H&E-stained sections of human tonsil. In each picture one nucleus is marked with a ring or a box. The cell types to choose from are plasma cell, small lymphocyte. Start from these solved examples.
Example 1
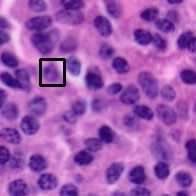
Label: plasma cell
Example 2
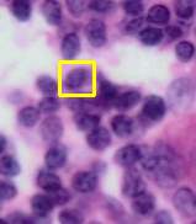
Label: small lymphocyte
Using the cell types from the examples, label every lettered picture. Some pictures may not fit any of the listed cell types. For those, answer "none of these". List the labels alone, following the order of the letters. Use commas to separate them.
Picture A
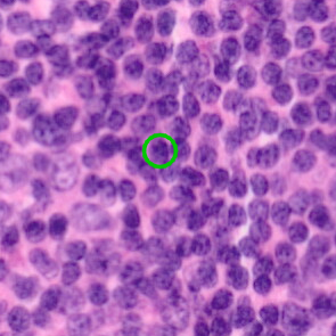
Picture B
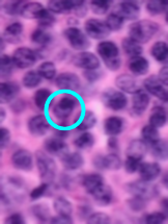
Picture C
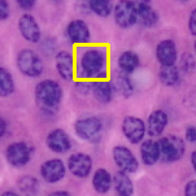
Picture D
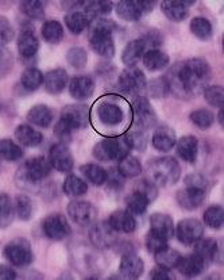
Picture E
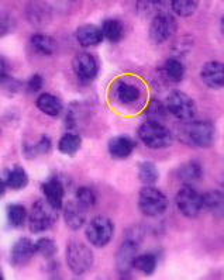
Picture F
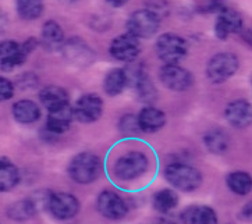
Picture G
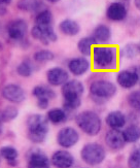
small lymphocyte, small lymphocyte, plasma cell, small lymphocyte, plasma cell, plasma cell, plasma cell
